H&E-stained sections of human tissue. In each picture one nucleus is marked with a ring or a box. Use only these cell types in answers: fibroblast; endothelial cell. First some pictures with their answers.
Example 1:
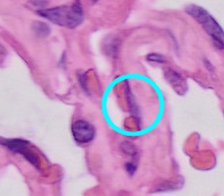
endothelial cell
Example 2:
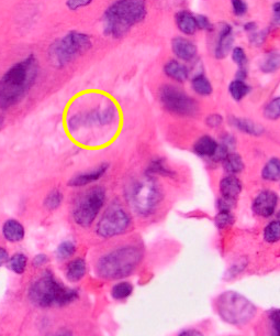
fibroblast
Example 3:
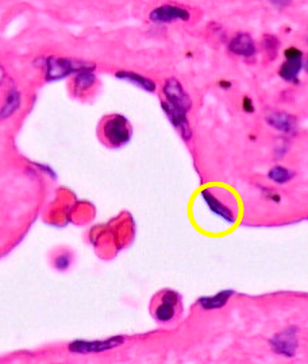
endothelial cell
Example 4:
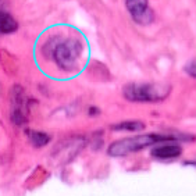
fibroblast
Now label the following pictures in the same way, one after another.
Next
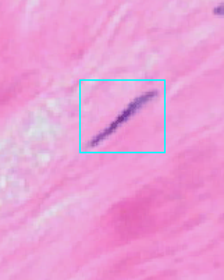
fibroblast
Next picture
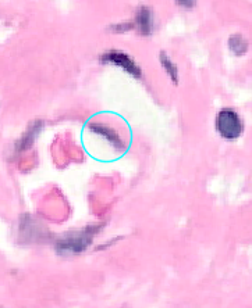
endothelial cell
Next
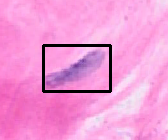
fibroblast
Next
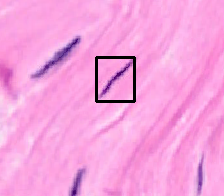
fibroblast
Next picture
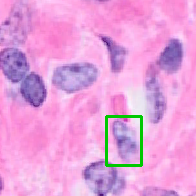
endothelial cell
